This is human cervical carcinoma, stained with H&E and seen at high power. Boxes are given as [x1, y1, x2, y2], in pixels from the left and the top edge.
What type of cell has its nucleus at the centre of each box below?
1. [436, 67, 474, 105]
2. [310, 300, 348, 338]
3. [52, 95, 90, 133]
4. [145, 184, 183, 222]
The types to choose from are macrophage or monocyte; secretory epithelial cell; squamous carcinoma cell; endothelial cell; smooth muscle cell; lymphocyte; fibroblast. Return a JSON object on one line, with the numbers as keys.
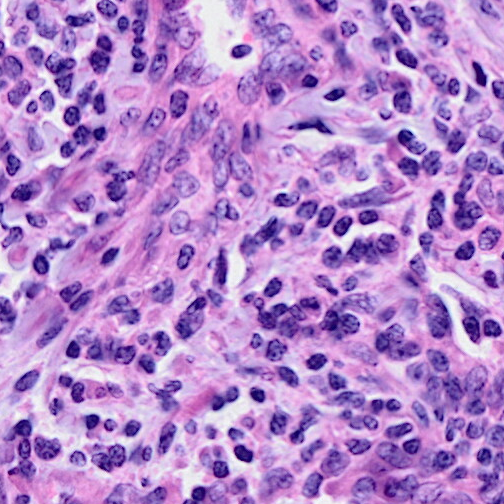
{"1": "lymphocyte", "2": "lymphocyte", "3": "lymphocyte", "4": "endothelial cell"}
